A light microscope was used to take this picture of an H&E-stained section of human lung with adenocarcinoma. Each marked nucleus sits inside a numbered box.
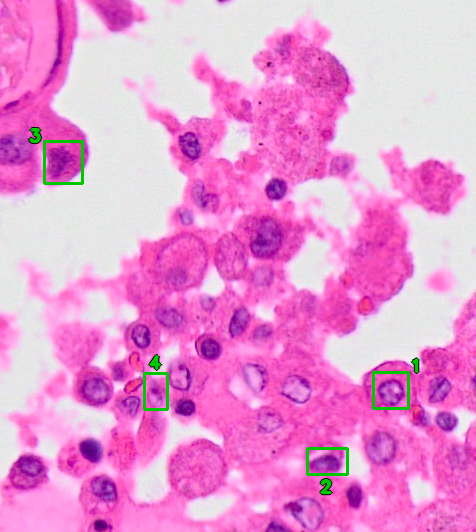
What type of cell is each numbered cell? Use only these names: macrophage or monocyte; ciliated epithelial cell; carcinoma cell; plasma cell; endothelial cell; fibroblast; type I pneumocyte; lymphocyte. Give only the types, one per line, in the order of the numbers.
macrophage or monocyte
macrophage or monocyte
carcinoma cell
macrophage or monocyte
